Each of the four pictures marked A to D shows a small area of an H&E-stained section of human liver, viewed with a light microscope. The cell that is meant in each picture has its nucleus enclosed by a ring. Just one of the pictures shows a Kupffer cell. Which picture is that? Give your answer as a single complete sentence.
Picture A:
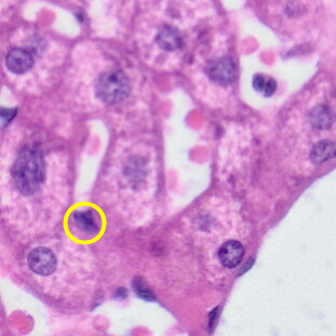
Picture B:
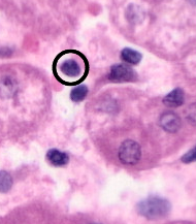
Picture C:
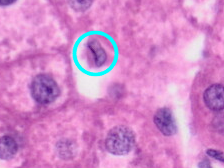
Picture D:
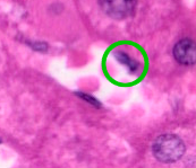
The Kupffer cell is the one in picture C.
